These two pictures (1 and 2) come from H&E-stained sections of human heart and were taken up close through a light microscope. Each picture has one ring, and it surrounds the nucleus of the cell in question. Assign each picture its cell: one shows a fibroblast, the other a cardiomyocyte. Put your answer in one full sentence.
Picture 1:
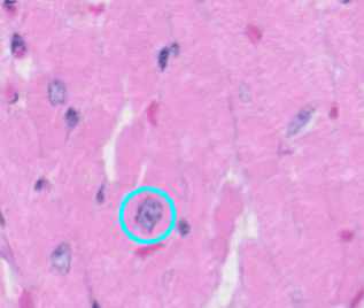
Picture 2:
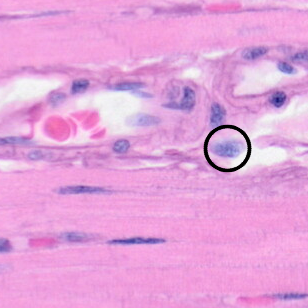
Picture 1 is of a cardiomyocyte, and picture 2 is of a fibroblast.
